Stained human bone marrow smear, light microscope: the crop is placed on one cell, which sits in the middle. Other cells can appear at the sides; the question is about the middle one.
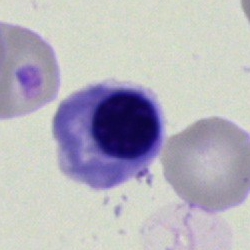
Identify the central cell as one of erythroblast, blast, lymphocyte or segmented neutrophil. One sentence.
The cell at the heart of this crop is an erythroblast.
